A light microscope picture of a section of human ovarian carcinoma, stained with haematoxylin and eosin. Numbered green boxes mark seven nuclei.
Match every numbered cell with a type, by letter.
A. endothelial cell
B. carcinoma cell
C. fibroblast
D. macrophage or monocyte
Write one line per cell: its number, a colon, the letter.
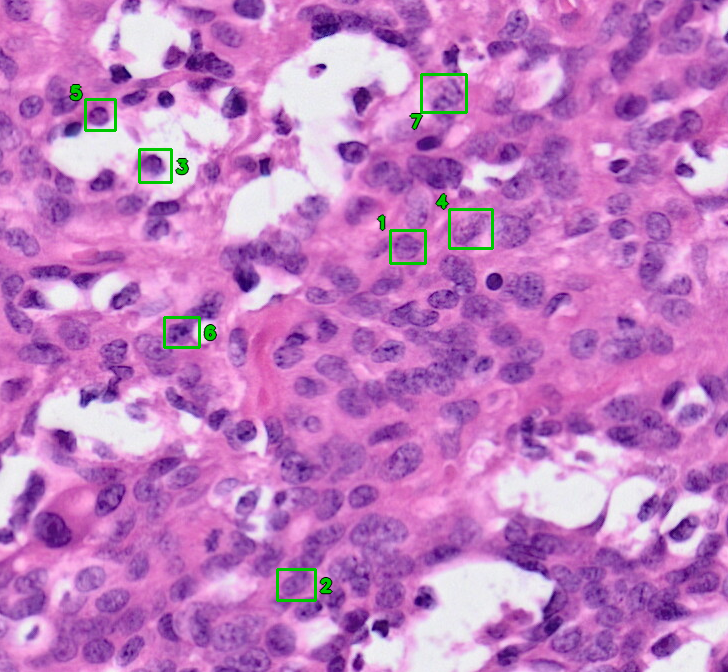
1: B
2: B
3: B
4: B
5: D
6: D
7: D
